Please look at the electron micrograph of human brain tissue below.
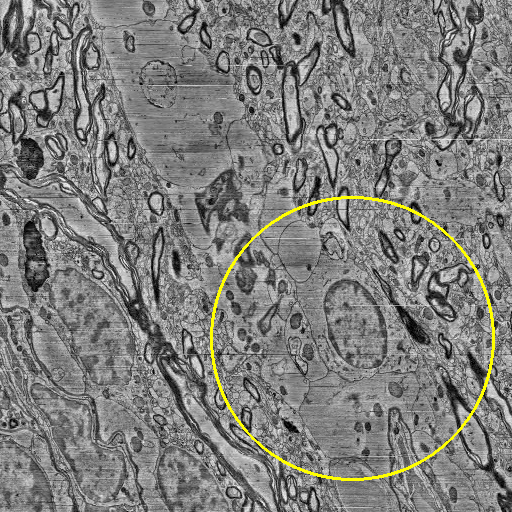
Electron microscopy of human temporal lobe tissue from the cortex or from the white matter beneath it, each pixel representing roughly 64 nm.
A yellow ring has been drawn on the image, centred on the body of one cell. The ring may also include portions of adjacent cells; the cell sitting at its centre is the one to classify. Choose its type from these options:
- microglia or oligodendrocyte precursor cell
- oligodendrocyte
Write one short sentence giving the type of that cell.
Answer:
The cell in the middle of the ring is a microglial cell or oligodendrocyte precursor cell.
